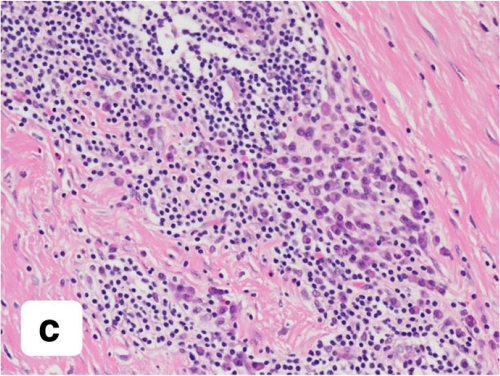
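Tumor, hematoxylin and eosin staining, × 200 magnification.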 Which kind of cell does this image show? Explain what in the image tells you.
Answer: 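Small lymphocytes and plasma cells. A dense aggregate of small round cells with dark round nuclei and scant cytoplasm. Larger cells with eccentric nuclei and ample pink-purple cytoplasm lie among them. The aggregate is bordered by pink fibrous tissue.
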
